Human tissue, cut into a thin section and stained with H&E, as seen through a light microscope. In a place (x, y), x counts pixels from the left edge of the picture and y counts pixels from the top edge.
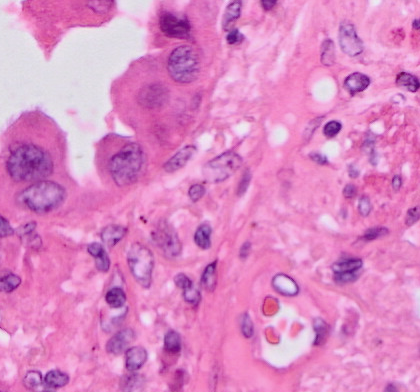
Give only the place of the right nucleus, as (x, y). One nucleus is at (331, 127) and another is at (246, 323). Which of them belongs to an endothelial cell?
(246, 323)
